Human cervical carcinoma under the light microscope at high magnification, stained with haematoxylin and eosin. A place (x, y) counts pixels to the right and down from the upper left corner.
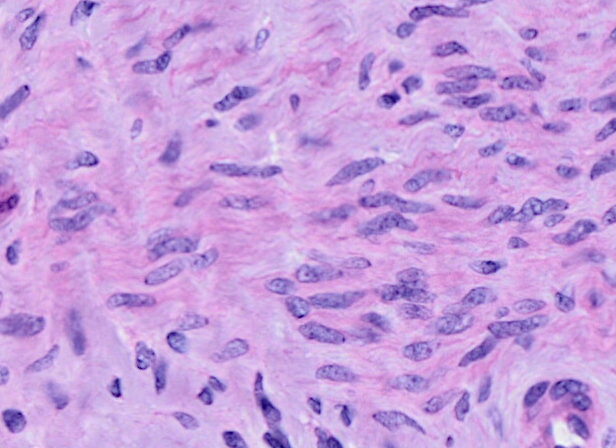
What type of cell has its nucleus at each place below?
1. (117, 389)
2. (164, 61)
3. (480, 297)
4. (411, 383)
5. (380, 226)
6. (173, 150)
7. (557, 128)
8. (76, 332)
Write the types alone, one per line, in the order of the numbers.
fibroblast
smooth muscle cell
smooth muscle cell
smooth muscle cell
smooth muscle cell
fibroblast
smooth muscle cell
fibroblast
